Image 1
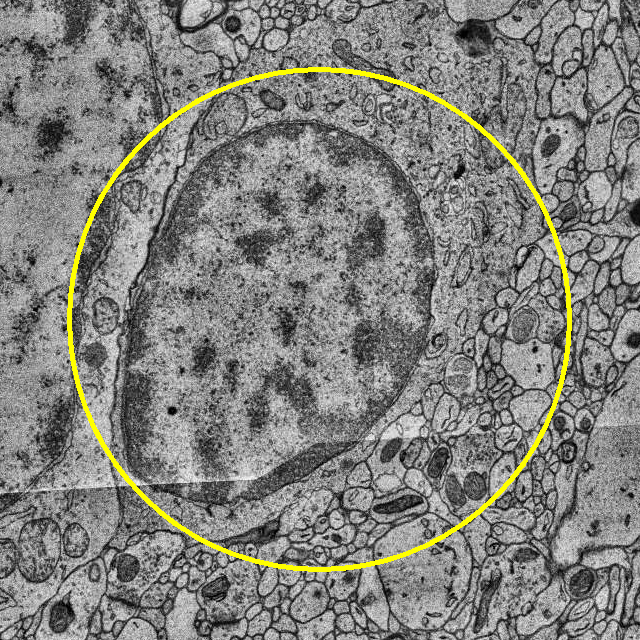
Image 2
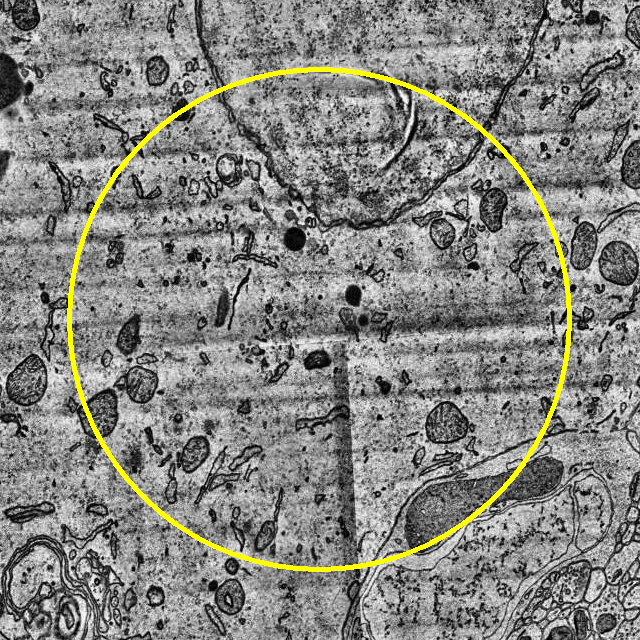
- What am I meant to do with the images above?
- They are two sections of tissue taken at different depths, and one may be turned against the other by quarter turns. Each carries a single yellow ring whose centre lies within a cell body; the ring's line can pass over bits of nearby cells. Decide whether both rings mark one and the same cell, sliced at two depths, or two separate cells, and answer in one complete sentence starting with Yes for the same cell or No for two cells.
No, each yellow ring marks its own cell.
